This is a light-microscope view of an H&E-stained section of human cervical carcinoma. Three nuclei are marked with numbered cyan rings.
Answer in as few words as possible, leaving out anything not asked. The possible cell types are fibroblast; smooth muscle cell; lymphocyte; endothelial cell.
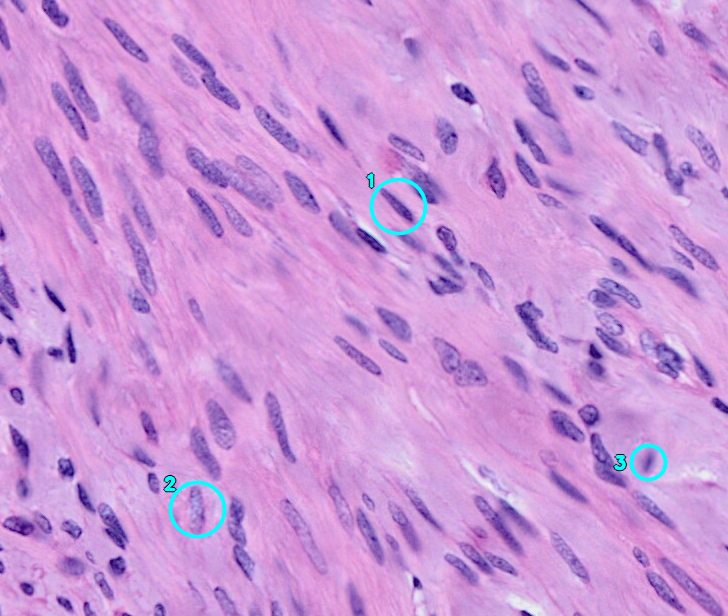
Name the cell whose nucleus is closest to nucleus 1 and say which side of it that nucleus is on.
a fibroblast, above and to the right of nucleus 1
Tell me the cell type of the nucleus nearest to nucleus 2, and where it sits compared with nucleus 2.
a fibroblast, to the right of nucleus 2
